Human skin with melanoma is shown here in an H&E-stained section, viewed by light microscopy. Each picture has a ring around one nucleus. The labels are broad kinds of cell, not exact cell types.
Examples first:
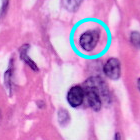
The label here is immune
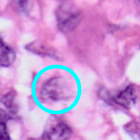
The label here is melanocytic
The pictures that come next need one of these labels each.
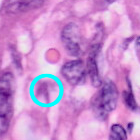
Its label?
melanocytic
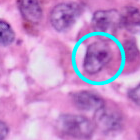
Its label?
melanocytic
